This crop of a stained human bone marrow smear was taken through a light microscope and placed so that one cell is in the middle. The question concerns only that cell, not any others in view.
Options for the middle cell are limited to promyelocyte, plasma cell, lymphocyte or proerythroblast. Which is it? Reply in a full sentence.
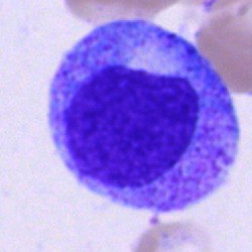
The centrally placed cell is classified as a promyelocyte.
